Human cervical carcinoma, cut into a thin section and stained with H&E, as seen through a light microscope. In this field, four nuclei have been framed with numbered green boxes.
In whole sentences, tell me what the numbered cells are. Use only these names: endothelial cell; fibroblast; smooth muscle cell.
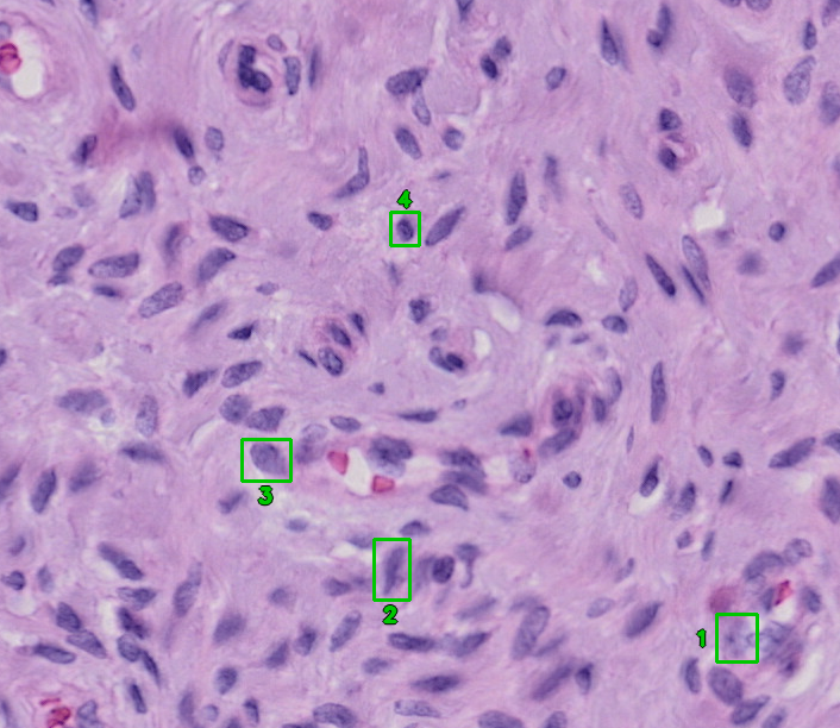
Cell 1 is an endothelial cell. Cells 2, 3 and 4 are fibroblasts.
